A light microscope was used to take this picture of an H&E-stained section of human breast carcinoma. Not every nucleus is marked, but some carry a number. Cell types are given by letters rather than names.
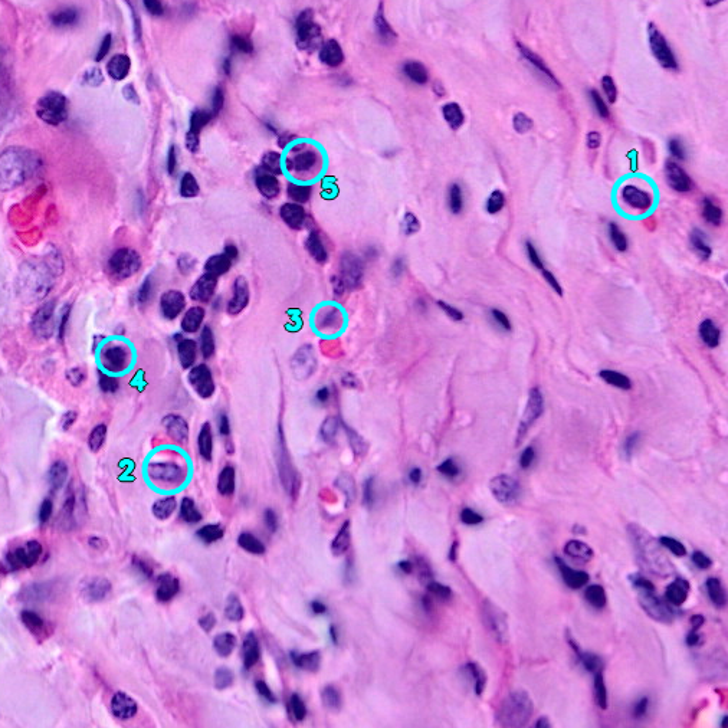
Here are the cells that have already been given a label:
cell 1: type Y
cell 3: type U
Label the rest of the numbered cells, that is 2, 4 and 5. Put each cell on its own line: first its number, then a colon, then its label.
2: type U
4: type Y
5: type Y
